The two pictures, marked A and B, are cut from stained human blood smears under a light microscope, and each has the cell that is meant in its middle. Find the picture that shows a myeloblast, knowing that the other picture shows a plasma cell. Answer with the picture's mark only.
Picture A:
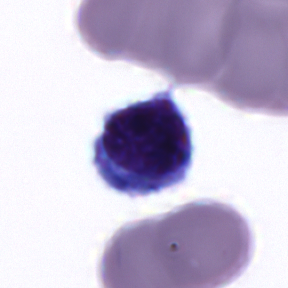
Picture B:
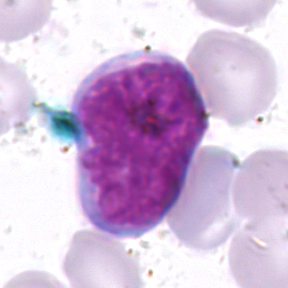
B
